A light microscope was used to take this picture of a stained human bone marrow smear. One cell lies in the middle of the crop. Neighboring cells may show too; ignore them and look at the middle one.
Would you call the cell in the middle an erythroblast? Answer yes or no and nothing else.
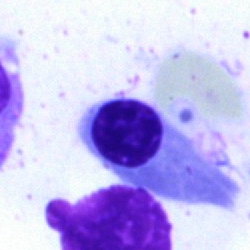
yes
